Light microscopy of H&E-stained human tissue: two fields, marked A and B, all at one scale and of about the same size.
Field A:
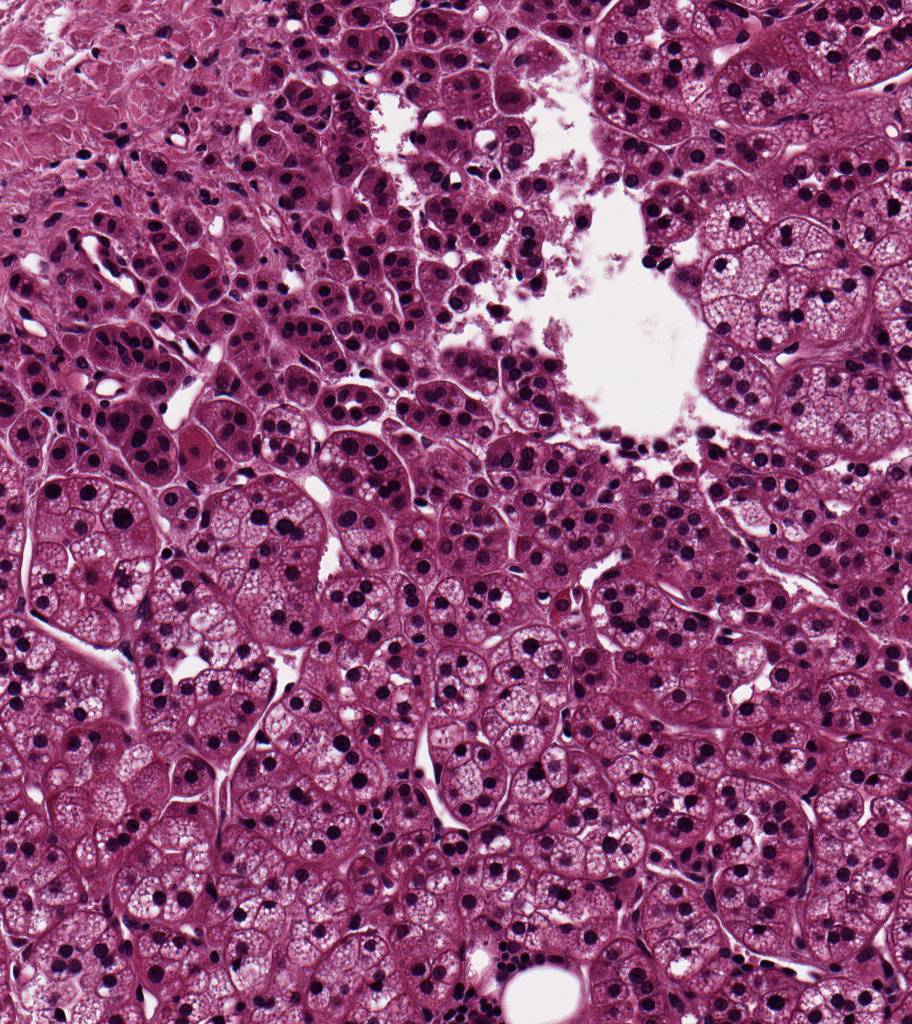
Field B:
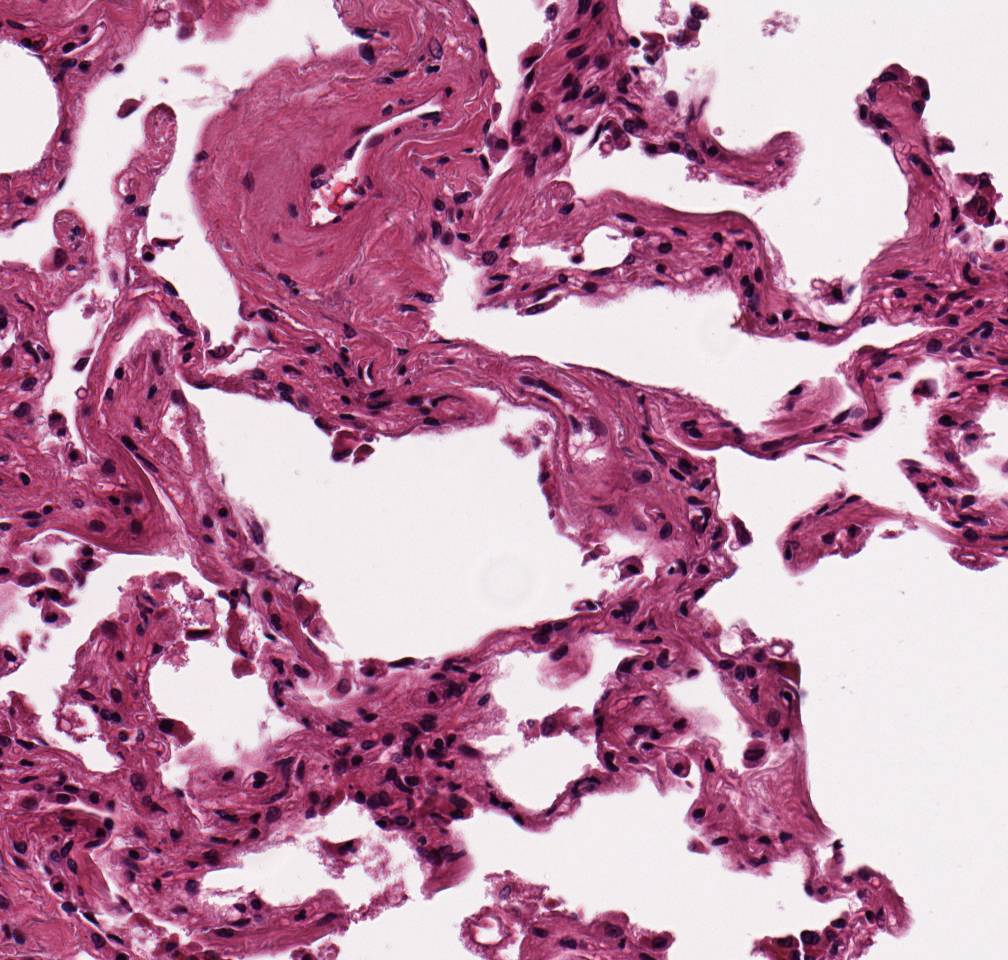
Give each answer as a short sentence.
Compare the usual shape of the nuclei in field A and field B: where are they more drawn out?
The nuclei are more elongated in field B.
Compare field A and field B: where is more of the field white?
It is field B in which white space covers the larger part.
